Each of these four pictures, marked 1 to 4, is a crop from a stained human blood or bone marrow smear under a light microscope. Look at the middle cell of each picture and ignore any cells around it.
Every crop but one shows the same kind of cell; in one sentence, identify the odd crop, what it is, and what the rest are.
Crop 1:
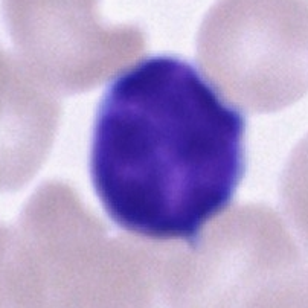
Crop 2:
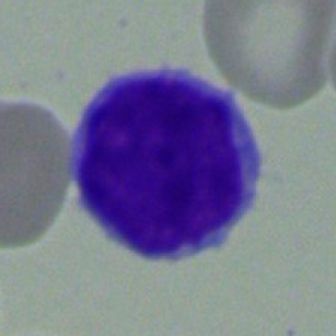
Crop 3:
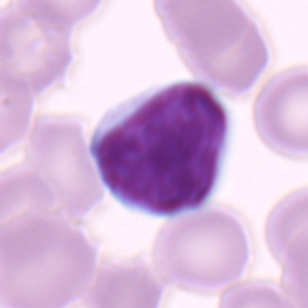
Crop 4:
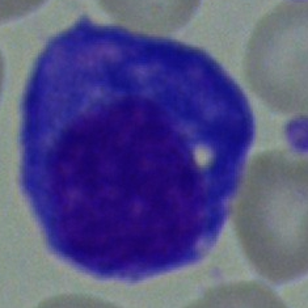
Whereas the other crops show lymphocytes, crop 4 is a plasma cell.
